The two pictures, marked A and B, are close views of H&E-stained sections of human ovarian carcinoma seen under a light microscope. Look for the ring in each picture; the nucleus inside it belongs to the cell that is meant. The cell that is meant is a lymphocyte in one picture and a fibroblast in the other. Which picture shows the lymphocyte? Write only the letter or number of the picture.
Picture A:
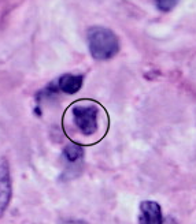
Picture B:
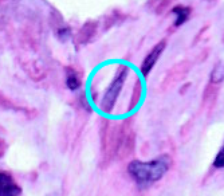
A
